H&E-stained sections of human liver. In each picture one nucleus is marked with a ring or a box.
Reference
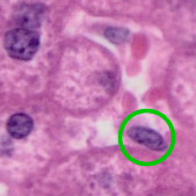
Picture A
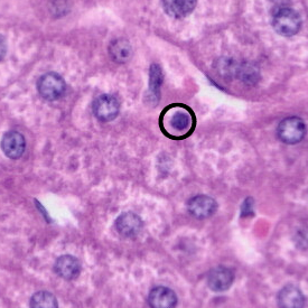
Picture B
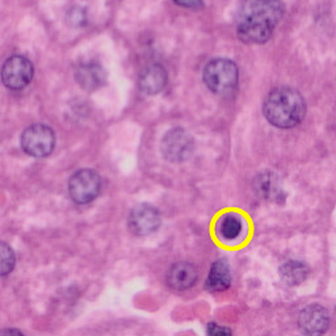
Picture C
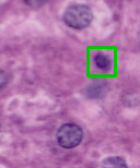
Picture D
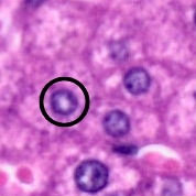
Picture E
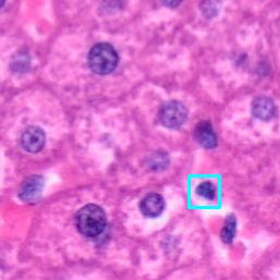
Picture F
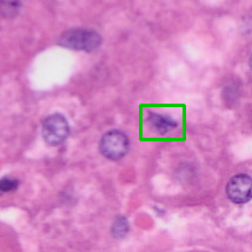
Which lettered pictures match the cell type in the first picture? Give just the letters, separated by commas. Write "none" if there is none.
none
